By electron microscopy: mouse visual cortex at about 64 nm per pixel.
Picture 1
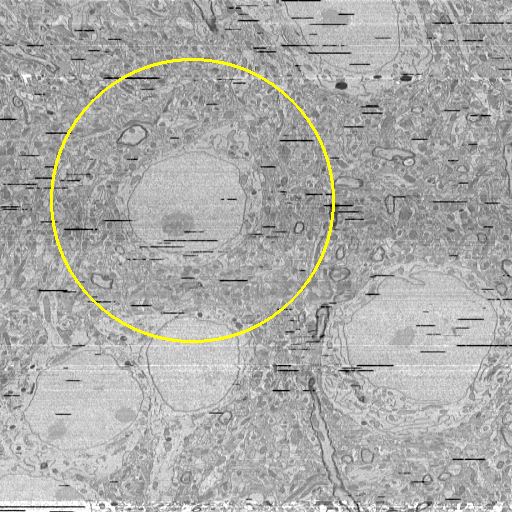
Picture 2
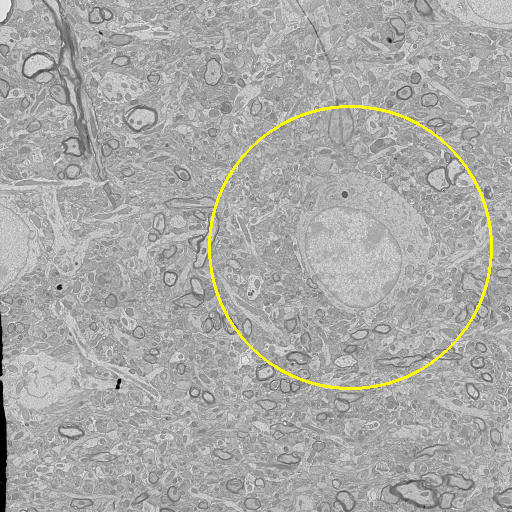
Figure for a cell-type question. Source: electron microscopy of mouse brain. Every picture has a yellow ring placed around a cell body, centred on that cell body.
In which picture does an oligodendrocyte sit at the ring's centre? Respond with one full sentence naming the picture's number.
The cell in the middle of the ring in picture 2 is the one sought.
